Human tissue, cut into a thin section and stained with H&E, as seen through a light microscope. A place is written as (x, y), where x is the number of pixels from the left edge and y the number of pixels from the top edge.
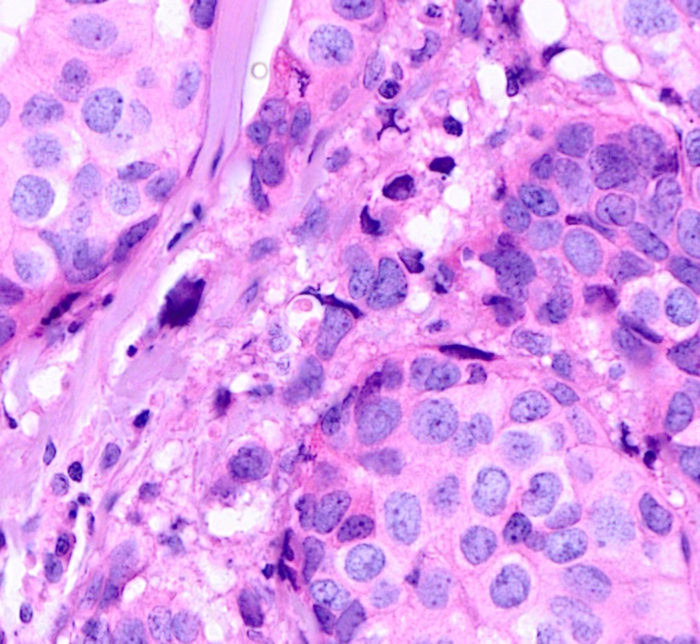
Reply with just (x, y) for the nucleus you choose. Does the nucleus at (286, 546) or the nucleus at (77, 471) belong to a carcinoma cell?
(286, 546)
